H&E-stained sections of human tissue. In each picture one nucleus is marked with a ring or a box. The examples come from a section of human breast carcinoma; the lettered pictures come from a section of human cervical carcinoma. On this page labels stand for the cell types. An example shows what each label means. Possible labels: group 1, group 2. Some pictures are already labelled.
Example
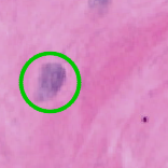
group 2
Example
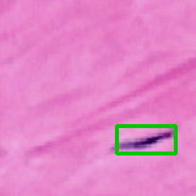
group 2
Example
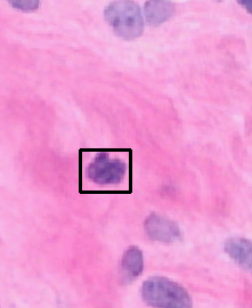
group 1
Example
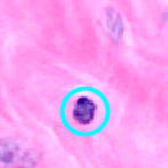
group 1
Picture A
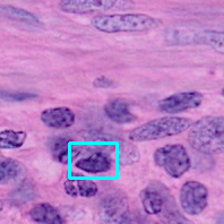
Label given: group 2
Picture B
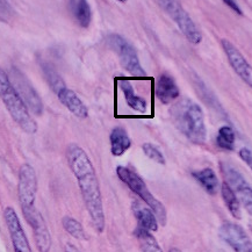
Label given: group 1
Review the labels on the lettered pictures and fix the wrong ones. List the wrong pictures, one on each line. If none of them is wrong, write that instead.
A: change group 2 to group 1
